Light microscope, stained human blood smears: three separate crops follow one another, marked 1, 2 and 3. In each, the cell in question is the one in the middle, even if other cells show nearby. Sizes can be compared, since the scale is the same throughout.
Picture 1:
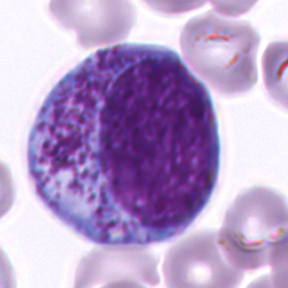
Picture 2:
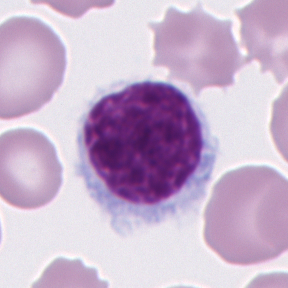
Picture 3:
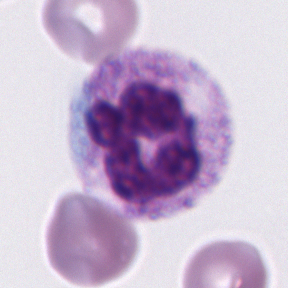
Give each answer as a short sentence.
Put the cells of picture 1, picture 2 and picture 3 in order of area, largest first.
From the largest down, the order is 1, 3, 2.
